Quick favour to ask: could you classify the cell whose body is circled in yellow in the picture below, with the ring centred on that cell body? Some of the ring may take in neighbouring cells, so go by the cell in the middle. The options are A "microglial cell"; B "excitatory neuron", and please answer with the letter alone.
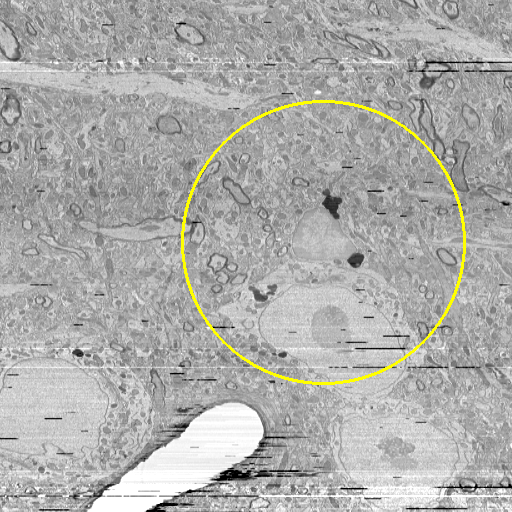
A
